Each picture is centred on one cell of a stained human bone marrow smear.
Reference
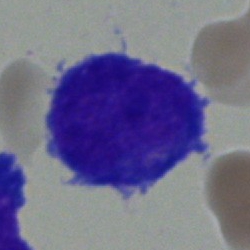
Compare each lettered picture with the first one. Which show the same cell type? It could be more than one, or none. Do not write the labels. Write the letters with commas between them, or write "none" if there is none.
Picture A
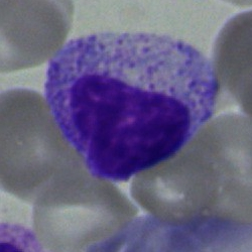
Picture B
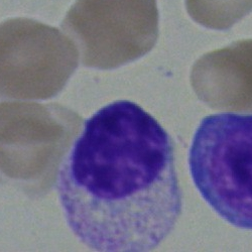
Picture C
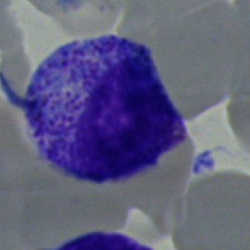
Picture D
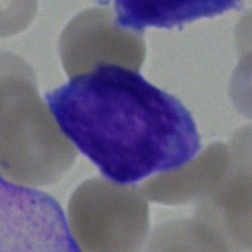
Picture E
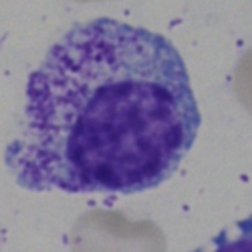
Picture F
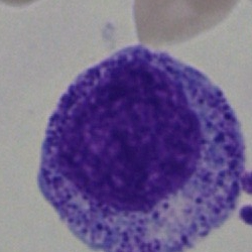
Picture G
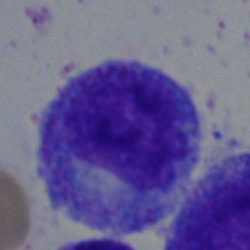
D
